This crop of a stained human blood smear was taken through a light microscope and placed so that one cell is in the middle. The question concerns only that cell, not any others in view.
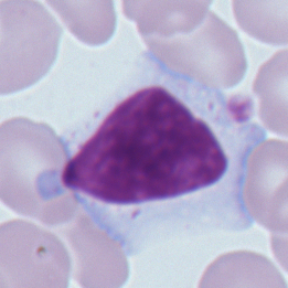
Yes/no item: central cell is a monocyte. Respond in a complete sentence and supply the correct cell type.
No, the label for the central cell is a large granular lymphocyte, not a monocyte.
